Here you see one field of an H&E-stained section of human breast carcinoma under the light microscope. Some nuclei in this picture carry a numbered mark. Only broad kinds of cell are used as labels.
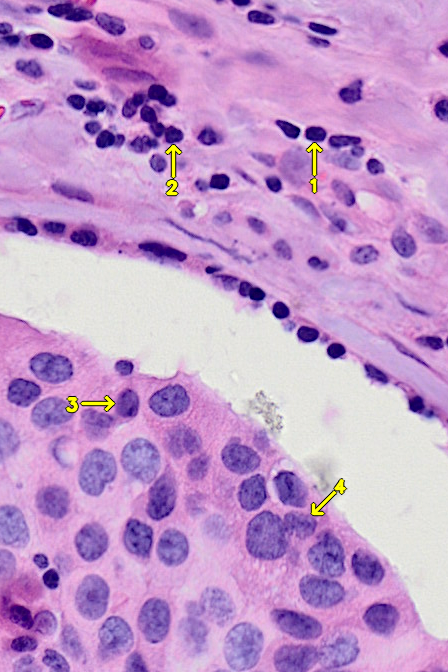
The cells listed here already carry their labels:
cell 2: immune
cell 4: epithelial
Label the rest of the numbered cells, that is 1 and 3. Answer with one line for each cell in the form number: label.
1: immune
3: epithelial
